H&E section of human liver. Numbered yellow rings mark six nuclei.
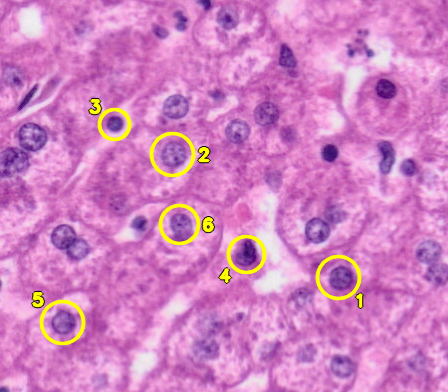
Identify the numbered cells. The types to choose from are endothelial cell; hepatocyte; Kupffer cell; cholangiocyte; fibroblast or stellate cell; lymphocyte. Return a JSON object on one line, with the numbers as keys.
{"1": "hepatocyte", "2": "hepatocyte", "3": "lymphocyte", "4": "Kupffer cell", "5": "hepatocyte", "6": "hepatocyte"}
